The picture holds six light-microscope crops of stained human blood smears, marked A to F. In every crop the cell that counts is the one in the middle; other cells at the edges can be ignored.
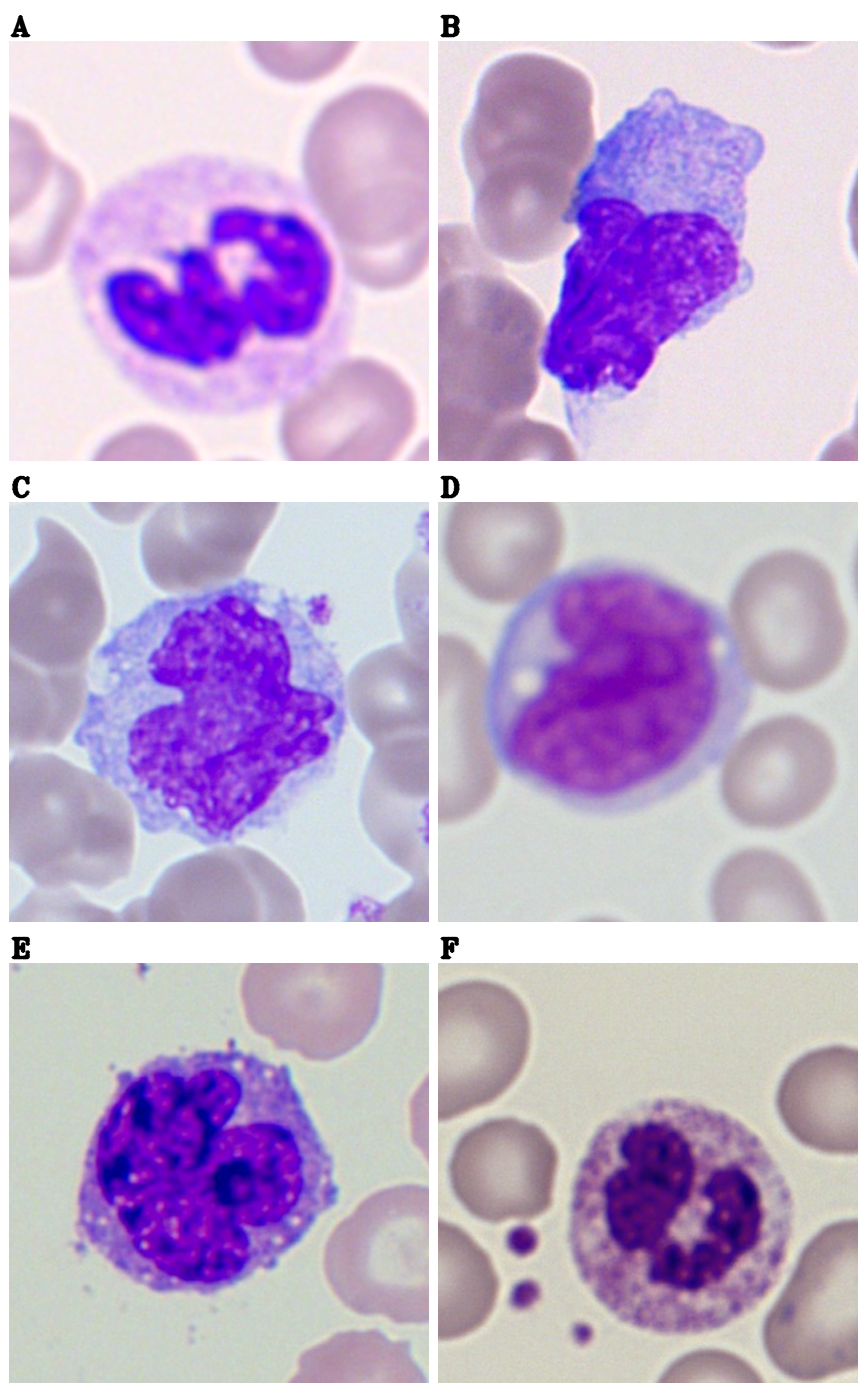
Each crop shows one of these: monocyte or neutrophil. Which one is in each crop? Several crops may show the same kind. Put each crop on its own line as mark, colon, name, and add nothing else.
A: neutrophil
B: monocyte
C: monocyte
D: monocyte
E: monocyte
F: neutrophil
